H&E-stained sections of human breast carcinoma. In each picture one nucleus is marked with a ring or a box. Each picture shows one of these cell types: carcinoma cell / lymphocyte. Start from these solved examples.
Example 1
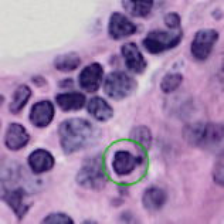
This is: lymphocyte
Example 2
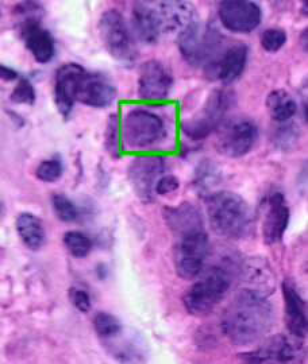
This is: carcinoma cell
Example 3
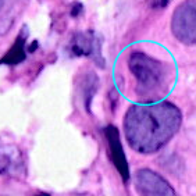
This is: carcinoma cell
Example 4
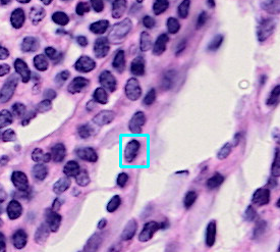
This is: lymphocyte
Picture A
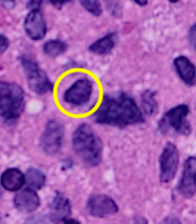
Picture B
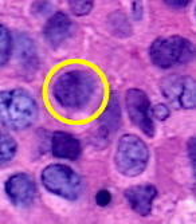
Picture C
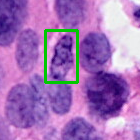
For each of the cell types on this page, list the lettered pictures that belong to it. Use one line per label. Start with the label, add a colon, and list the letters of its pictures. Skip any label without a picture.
carcinoma cell: A, B, C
